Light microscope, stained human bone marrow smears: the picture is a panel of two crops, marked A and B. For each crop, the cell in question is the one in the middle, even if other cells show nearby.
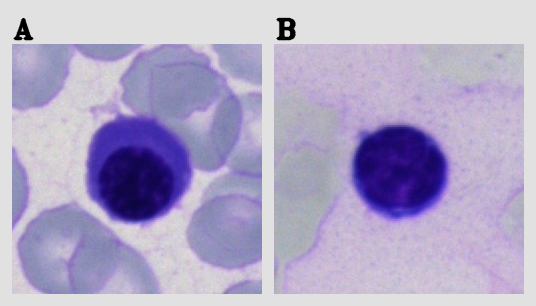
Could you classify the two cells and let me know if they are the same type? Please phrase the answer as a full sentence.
No, crop A carries a normoblast and crop B carries a lymphocyte.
